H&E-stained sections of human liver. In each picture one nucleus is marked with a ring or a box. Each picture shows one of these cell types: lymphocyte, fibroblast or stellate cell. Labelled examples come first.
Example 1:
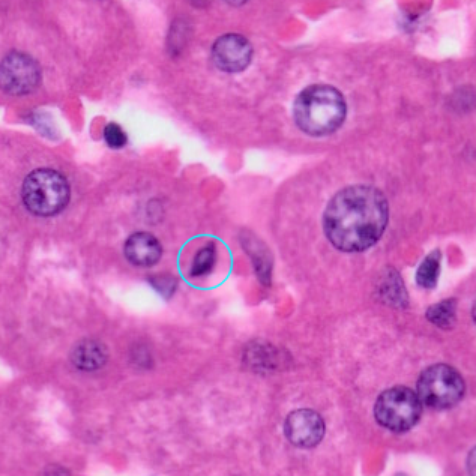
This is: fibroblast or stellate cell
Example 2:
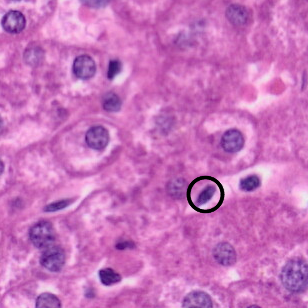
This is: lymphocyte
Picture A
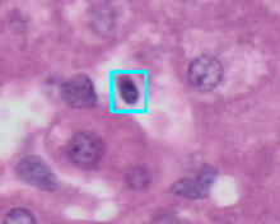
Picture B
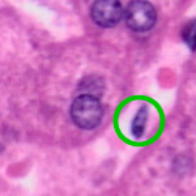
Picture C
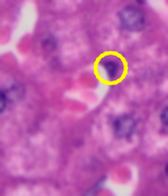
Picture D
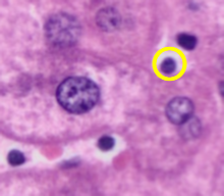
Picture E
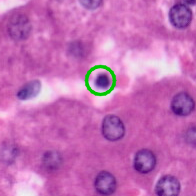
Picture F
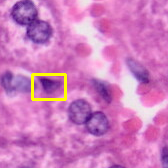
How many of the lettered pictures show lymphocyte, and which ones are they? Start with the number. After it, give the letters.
Count: 4 (A, B, D, E)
